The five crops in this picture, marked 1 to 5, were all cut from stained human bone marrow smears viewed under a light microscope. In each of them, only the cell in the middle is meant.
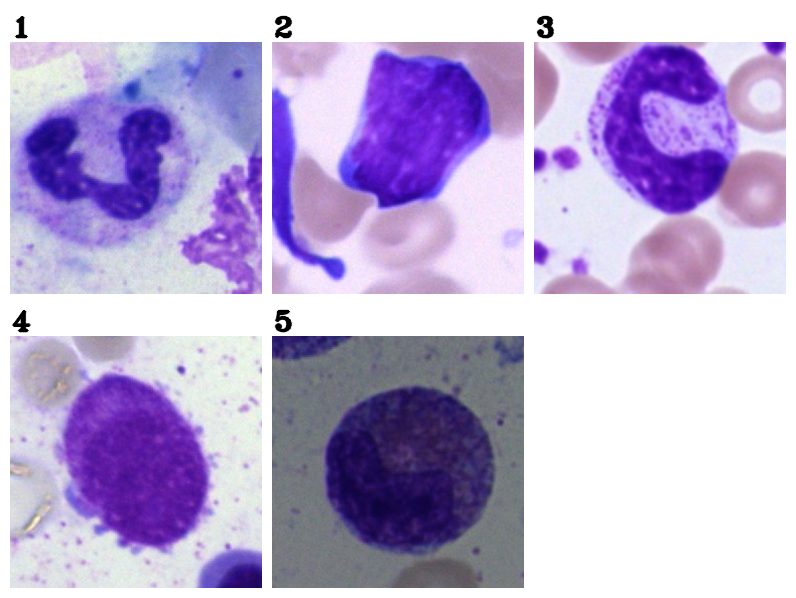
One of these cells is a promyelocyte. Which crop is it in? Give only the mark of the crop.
4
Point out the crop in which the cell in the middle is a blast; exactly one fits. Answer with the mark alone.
2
